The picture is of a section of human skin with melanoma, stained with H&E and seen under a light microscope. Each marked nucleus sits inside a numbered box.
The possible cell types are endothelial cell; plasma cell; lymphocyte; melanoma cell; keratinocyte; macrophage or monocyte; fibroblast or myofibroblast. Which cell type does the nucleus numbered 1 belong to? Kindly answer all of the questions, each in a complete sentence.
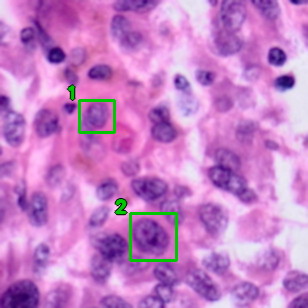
Identified as an endothelial cell is the cell bearing the number 1.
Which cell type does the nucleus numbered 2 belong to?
The numbered cell 2 in this field is a melanoma cell.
